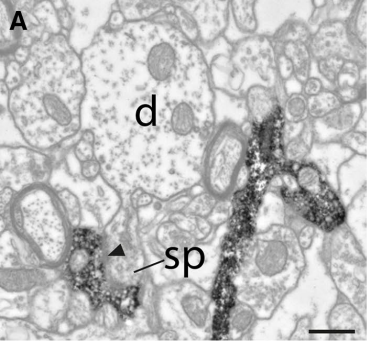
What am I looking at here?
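This electron micrograph shows brain neuropil with a large pale dendrite profile near the top, surrounded by many small cross-sectioned processes and a few myelinated axons with thick dark rings. A long, densely black-stained process runs vertically through the right half of the field and widens into a swelling at its upper right. On the left, a second black-stained swelling lies beside a small pale spine profile, and an arrowhead marks their contact. The dark stain fills the axonal profiles so that their interior detail is largely obscured, though a few rounded organelles can be made out.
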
